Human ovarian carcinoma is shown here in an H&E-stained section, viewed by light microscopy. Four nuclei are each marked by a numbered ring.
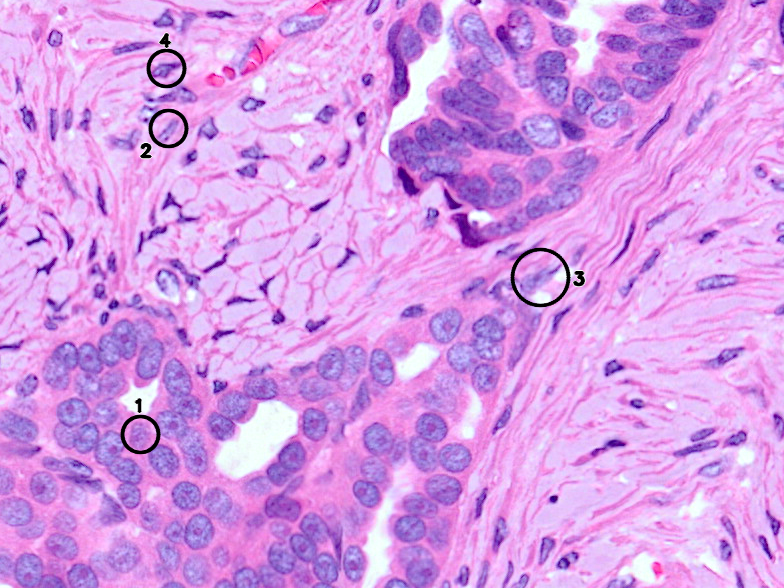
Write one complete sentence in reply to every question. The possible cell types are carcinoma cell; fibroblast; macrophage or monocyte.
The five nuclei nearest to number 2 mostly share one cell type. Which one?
Around number 2, most of the five nearest nuclei are those of macrophages or monocytes.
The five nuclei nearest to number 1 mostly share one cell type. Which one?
Around number 1, most of the five nearest nuclei are those of carcinoma cells.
